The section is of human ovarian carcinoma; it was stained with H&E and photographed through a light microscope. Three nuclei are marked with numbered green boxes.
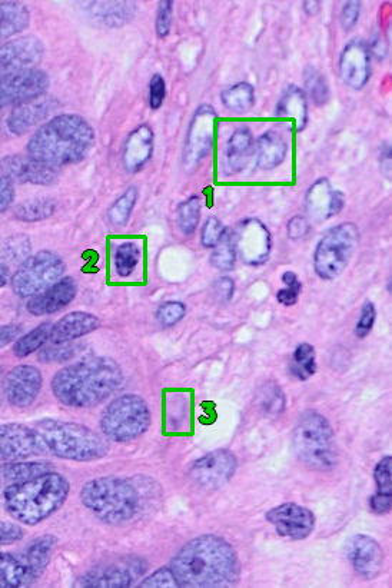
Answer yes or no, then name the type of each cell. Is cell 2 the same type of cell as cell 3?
No, cell 2 is a lymphocyte whereas cell 3 is a fibroblast.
